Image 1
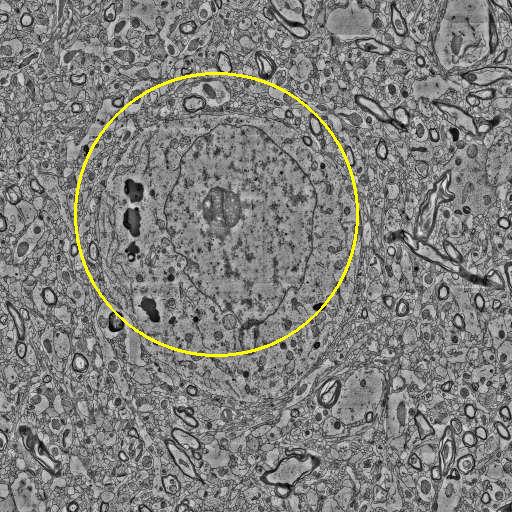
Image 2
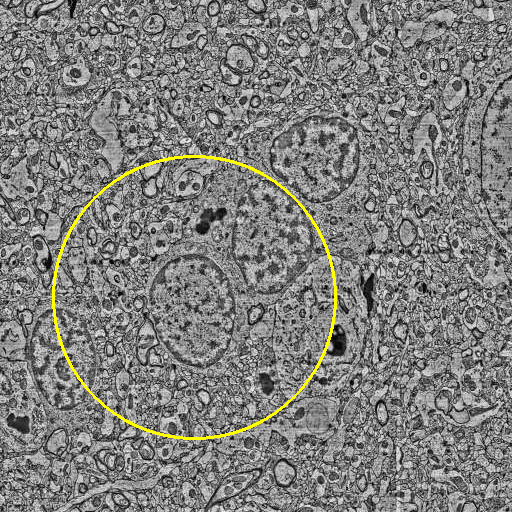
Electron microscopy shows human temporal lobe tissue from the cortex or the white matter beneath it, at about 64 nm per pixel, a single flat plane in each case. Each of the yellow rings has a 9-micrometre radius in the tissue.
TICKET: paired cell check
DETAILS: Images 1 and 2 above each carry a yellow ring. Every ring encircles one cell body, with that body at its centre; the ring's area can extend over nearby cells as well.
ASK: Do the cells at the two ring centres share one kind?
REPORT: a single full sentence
No, the ring-centre cells of Images 1 and 2 belong to two kinds.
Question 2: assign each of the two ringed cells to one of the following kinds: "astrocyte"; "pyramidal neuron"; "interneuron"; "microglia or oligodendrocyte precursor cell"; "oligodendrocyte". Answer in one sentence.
The two cells are a pyramidal neuron in the first picture and an oligodendrocyte in the second.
